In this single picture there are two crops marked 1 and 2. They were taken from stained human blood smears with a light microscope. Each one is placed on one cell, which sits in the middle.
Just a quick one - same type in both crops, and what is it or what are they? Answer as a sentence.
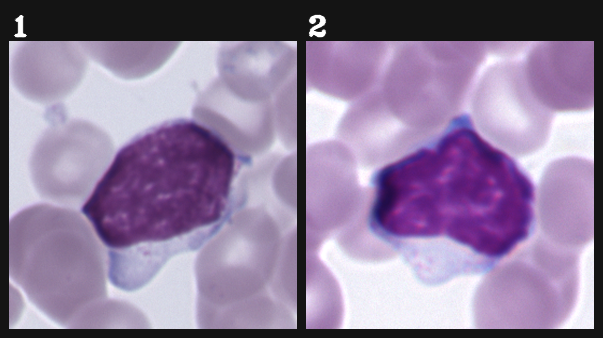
Yes, both crops show large granular lymphocytes, and nothing else needs adding.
